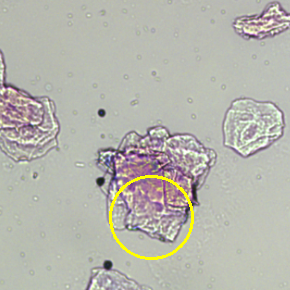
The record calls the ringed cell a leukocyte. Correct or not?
Not correct; it is a cornified epithelial cell.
